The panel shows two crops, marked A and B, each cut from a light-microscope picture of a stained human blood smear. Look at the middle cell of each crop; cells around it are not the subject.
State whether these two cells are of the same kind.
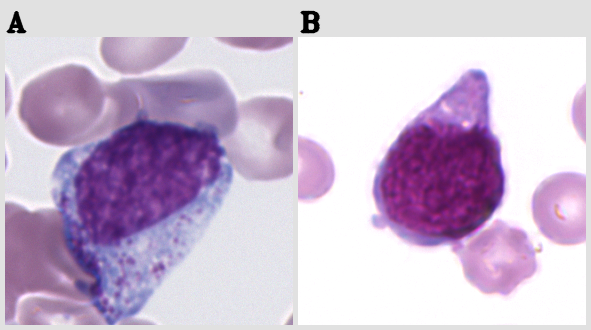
no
